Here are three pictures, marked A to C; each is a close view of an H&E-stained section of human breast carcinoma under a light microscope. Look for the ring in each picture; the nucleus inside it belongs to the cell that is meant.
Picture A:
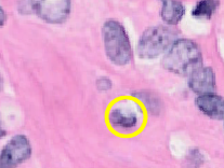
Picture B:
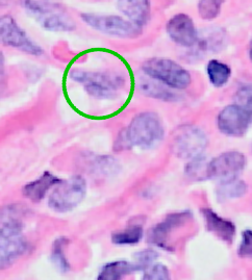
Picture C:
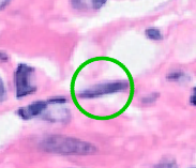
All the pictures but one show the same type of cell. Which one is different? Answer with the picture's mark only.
C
